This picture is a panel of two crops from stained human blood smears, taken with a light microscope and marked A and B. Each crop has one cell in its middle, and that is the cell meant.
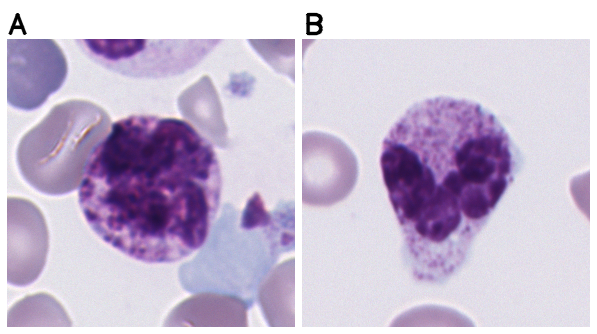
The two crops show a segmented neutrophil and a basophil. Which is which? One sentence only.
Crop A is labelled a basophil, and crop B is labelled a segmented neutrophil.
